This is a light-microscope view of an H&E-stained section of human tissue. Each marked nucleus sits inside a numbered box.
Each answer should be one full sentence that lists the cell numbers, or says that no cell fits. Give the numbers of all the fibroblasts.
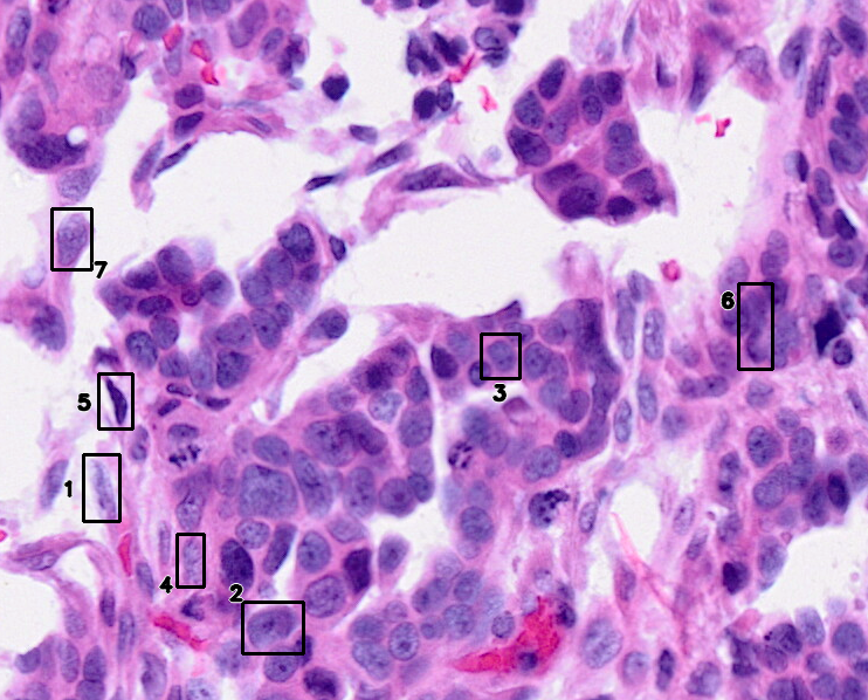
Here, the cells that carry numbers 1, 4 and 5 are fibroblasts.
